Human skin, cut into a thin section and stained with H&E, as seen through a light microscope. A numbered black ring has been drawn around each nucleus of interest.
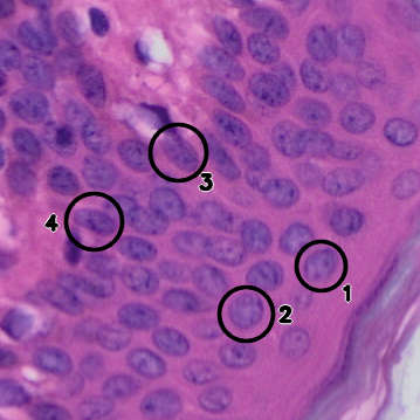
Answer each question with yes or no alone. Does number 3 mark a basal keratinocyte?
yes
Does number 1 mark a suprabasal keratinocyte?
yes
